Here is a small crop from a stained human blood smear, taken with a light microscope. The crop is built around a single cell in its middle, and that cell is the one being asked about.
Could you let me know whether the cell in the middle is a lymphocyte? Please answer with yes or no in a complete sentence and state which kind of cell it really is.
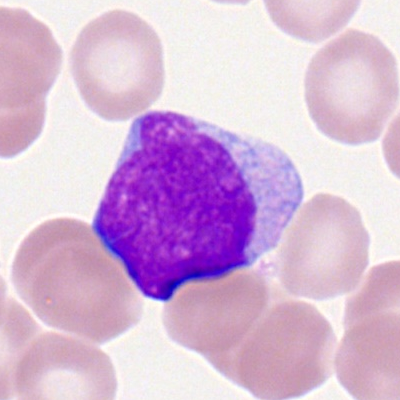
No, what is centred in the crop is not a lymphocyte but a myeloblast.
